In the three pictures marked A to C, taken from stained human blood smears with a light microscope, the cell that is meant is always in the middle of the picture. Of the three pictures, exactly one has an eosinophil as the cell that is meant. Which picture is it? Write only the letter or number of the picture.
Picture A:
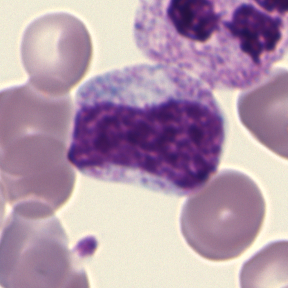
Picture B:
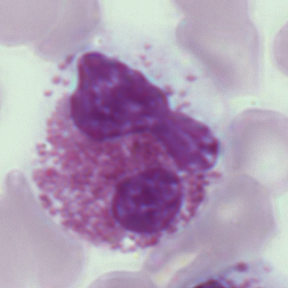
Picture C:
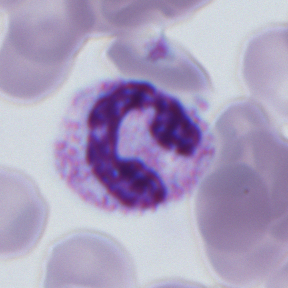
B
